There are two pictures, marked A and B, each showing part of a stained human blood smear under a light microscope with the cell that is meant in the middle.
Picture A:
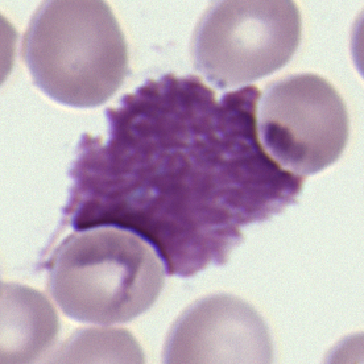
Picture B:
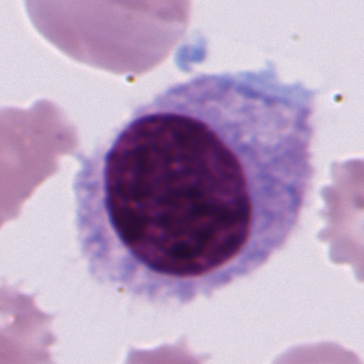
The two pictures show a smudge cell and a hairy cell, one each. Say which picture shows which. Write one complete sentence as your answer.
The cell in picture A is a smudge cell, and the one in picture B is a hairy cell.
